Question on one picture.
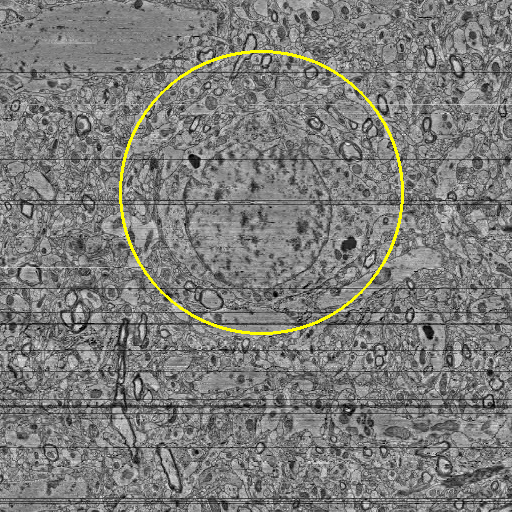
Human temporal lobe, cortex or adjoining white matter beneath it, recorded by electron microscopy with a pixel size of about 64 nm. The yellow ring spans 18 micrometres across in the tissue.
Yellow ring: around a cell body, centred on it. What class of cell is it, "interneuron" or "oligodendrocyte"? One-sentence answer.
This is an interneuron, the cell the ring is centred on.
